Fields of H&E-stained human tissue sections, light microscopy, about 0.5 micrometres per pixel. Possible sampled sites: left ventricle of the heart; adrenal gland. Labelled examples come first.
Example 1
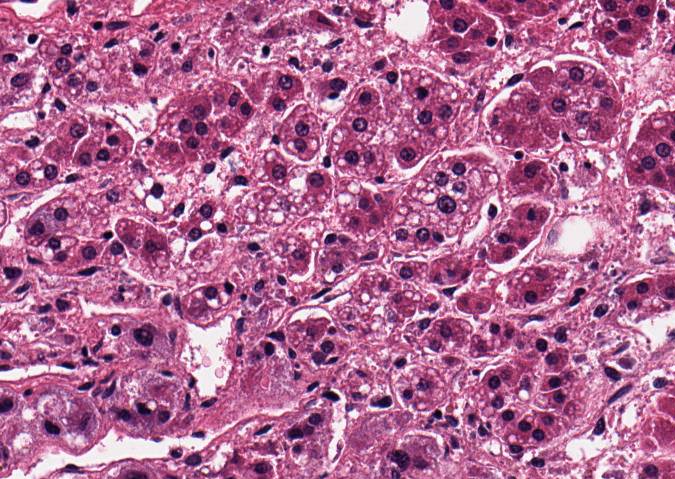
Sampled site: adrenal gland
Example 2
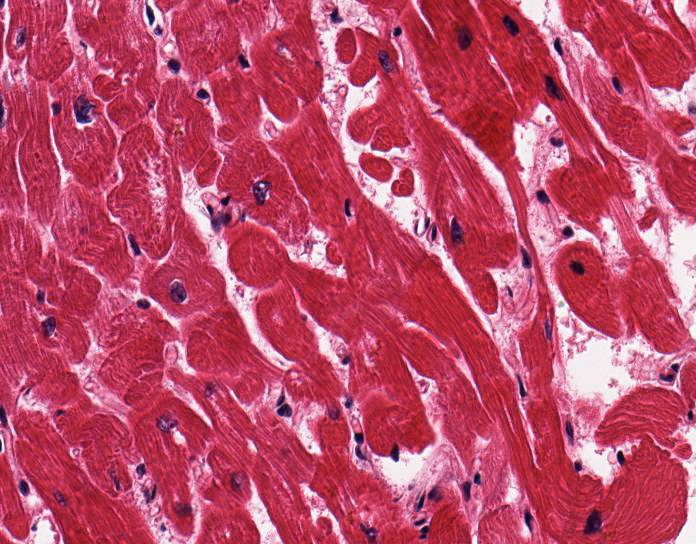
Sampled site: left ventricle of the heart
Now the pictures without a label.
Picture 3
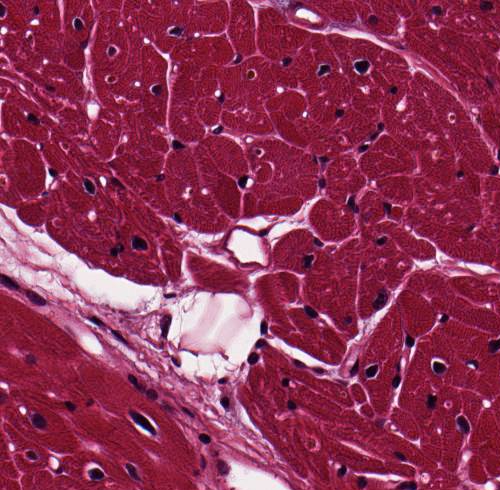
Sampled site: left ventricle of the heart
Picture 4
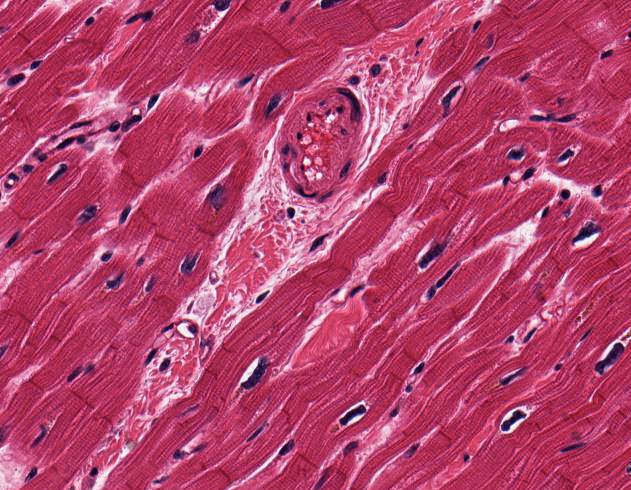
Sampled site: left ventricle of the heart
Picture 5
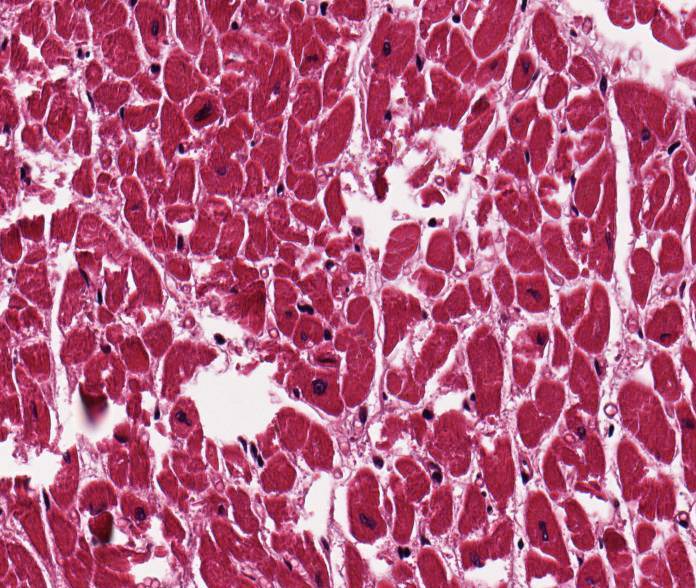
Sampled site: left ventricle of the heart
